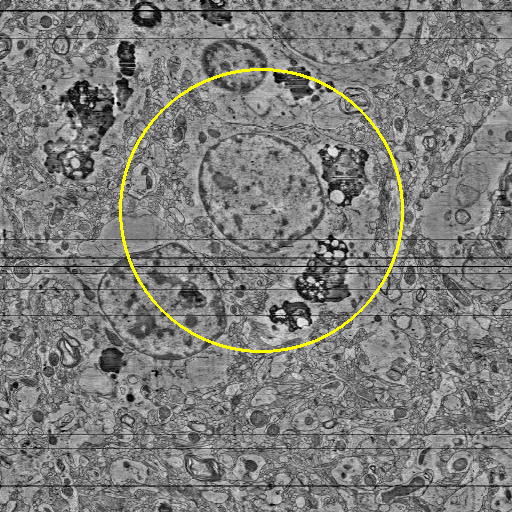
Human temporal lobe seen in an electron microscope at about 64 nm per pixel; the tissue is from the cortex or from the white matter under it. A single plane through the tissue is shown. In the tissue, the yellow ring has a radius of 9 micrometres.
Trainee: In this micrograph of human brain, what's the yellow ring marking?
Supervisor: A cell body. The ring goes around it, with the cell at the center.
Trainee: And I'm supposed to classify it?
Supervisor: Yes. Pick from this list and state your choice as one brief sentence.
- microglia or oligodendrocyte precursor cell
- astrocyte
The cell at the ring's center is an astrocyte.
